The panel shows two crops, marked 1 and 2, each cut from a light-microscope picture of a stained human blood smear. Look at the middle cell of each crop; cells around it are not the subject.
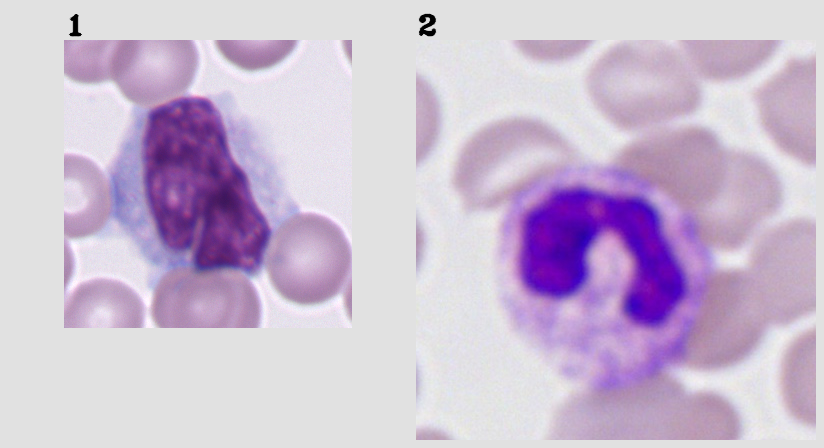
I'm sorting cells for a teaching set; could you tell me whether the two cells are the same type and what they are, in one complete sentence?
No, crop 1 represents a monocyte, and crop 2 represents a band neutrophil.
